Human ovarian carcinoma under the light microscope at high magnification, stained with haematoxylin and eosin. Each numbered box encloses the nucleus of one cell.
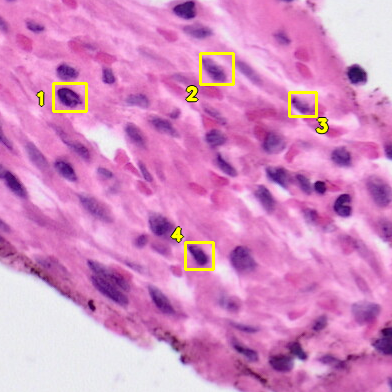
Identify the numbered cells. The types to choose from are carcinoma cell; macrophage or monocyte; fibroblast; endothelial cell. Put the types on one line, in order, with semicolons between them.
macrophage or monocyte; fibroblast; fibroblast; fibroblast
